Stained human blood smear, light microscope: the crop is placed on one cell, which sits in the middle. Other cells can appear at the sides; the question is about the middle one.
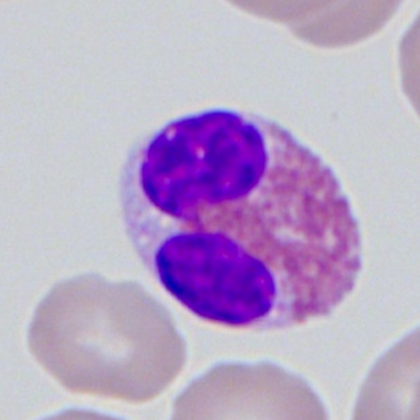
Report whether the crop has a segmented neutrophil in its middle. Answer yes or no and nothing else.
no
